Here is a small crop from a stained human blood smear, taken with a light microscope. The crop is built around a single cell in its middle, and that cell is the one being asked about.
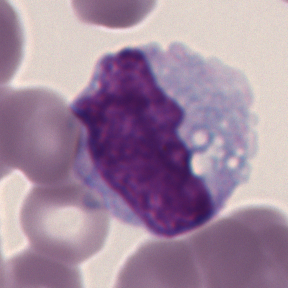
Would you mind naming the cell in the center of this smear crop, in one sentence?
The middle of this crop is occupied by a monocyte.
